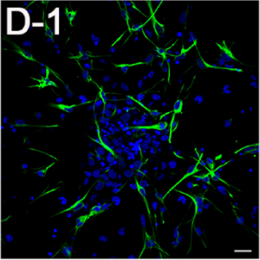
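A loose cluster of small round blue nuclei sits at the centre, with scattered nuclei spreading outward over the dish. Among them, a number of cells stand out in green: each has a small cell body from which long, thin, tapering processes extend, some branching, some reaching far from the cluster and crossing one another. The green fills the cell bodies and their processes but not the nuclei. Many blue nuclei carry no green at all.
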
